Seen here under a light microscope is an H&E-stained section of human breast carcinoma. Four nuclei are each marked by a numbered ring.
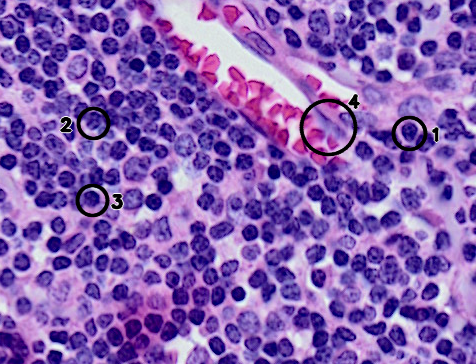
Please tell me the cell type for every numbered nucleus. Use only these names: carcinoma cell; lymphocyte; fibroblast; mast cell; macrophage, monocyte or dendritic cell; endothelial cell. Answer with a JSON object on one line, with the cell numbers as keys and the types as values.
{"1": "lymphocyte", "2": "lymphocyte", "3": "lymphocyte", "4": "endothelial cell"}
